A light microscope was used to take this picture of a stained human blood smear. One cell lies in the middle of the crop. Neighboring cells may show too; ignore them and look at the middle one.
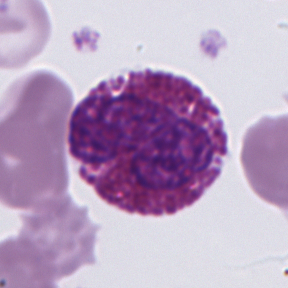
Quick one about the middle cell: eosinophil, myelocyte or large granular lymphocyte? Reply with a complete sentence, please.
The cell in the exact centre of the crop is an eosinophil.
